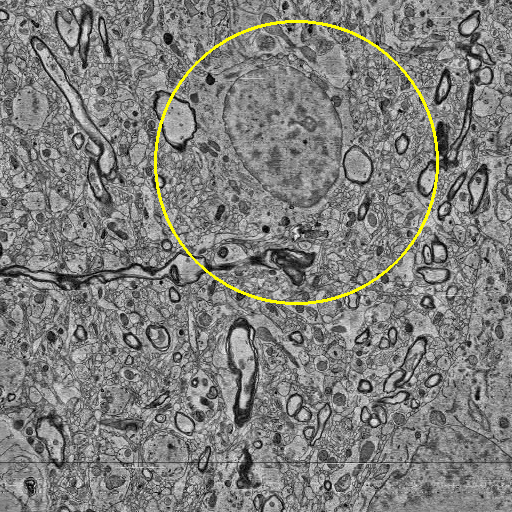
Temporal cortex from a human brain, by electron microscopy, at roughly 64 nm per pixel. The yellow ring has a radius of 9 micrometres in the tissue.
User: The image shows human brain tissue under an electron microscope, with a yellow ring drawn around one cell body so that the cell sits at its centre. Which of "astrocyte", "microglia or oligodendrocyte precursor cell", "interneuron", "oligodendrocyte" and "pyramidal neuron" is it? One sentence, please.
At the centre of the ring sits an oligodendrocyte.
